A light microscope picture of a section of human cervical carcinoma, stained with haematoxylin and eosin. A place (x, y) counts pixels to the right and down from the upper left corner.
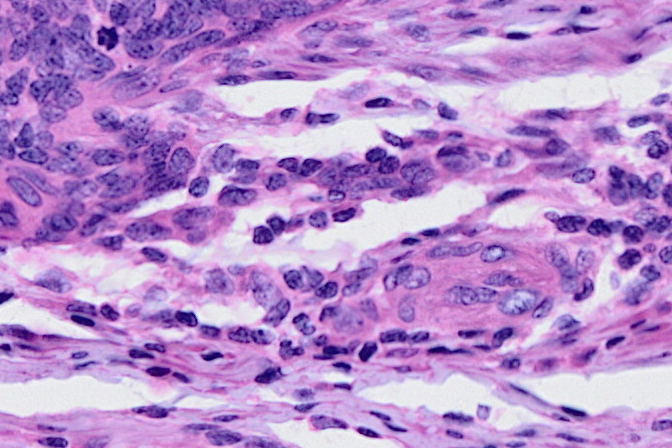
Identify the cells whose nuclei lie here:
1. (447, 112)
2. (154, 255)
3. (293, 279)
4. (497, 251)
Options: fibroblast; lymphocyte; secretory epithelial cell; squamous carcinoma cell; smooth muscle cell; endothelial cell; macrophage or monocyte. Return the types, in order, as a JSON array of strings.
["lymphocyte", "lymphocyte", "lymphocyte", "smooth muscle cell"]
